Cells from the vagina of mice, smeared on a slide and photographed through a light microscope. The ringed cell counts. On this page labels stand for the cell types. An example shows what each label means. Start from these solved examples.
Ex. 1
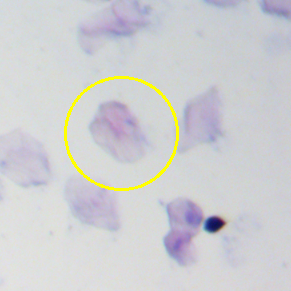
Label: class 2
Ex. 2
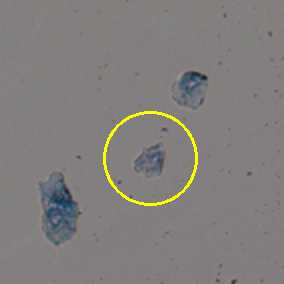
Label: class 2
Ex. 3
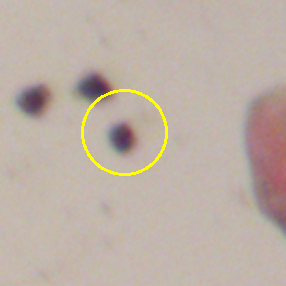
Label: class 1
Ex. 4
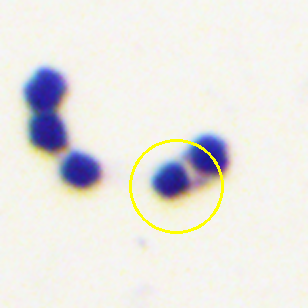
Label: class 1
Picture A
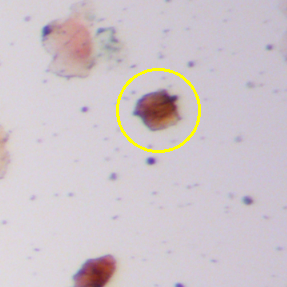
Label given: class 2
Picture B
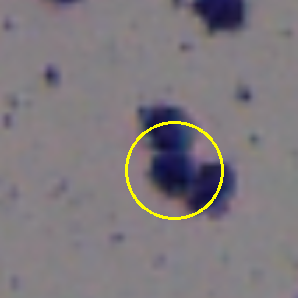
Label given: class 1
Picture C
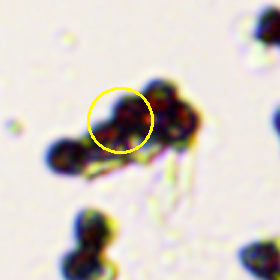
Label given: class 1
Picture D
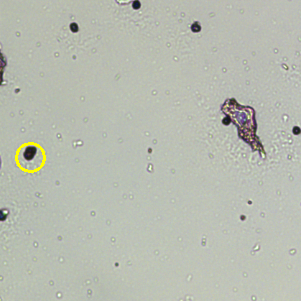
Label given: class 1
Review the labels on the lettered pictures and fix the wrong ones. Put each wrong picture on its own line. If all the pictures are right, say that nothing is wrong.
None of the labels needs changing.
